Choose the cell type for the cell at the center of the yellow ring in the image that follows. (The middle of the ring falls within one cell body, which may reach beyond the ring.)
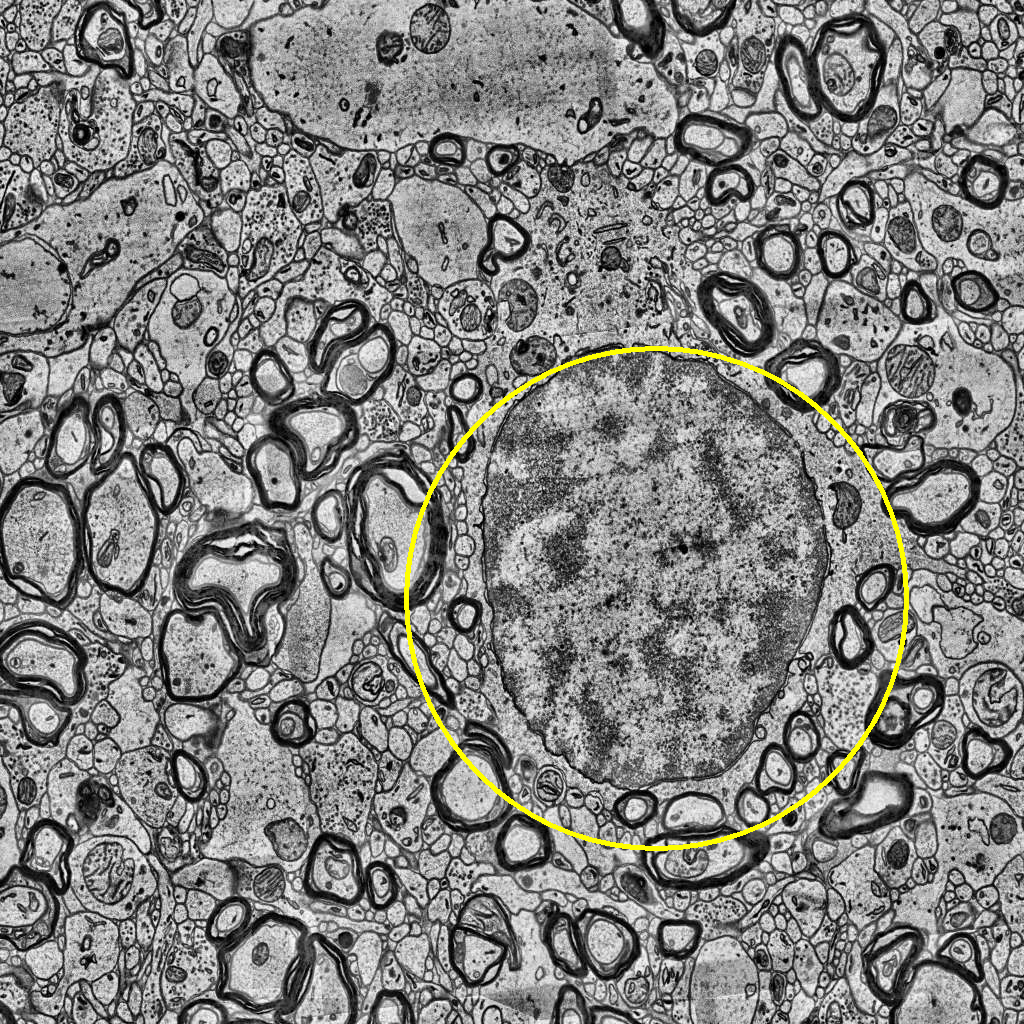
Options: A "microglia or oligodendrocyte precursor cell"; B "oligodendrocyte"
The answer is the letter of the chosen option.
B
